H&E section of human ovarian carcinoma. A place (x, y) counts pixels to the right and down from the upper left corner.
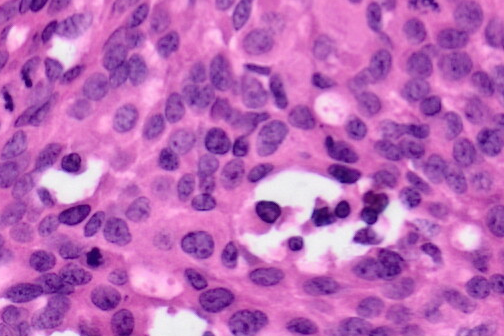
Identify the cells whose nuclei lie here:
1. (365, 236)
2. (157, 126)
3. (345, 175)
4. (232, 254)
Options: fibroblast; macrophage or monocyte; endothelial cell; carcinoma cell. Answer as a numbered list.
1. carcinoma cell
2. carcinoma cell
3. carcinoma cell
4. macrophage or monocyte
